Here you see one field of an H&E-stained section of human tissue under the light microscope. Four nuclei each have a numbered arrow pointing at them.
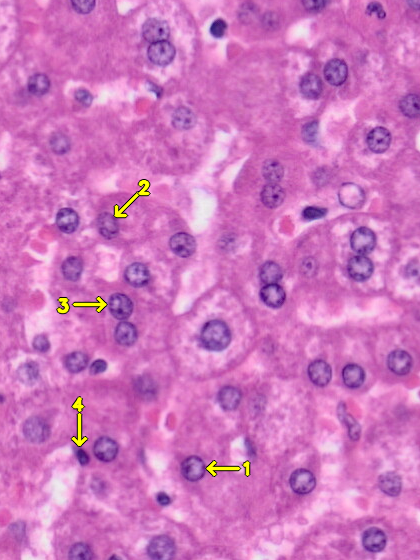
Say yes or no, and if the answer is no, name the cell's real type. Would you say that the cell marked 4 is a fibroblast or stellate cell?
Yes.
